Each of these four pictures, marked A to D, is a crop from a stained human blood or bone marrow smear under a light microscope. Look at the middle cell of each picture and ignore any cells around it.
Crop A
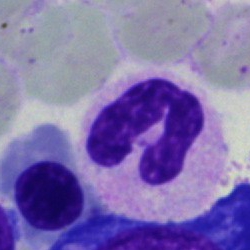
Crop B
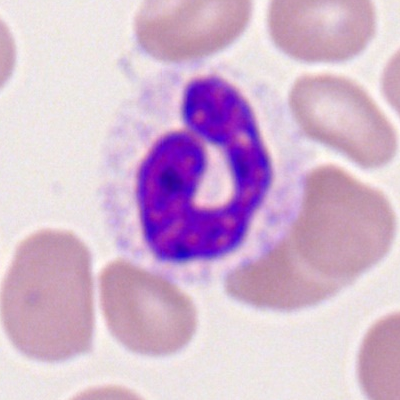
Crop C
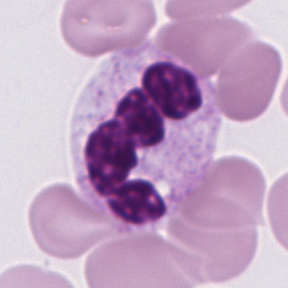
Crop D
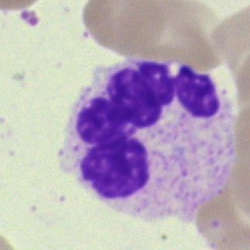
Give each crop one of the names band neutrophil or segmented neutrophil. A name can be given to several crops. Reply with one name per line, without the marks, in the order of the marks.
segmented neutrophil
band neutrophil
segmented neutrophil
segmented neutrophil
